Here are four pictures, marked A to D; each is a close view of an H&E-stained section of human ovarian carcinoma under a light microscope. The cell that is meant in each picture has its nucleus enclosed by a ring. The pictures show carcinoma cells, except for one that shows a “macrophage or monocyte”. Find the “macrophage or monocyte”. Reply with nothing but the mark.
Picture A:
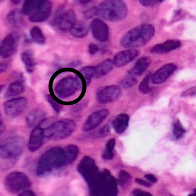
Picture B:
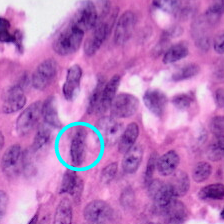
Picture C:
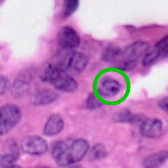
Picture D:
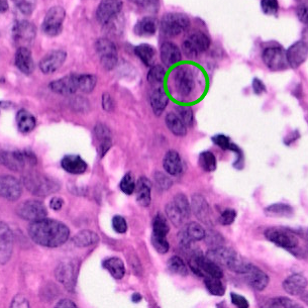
C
